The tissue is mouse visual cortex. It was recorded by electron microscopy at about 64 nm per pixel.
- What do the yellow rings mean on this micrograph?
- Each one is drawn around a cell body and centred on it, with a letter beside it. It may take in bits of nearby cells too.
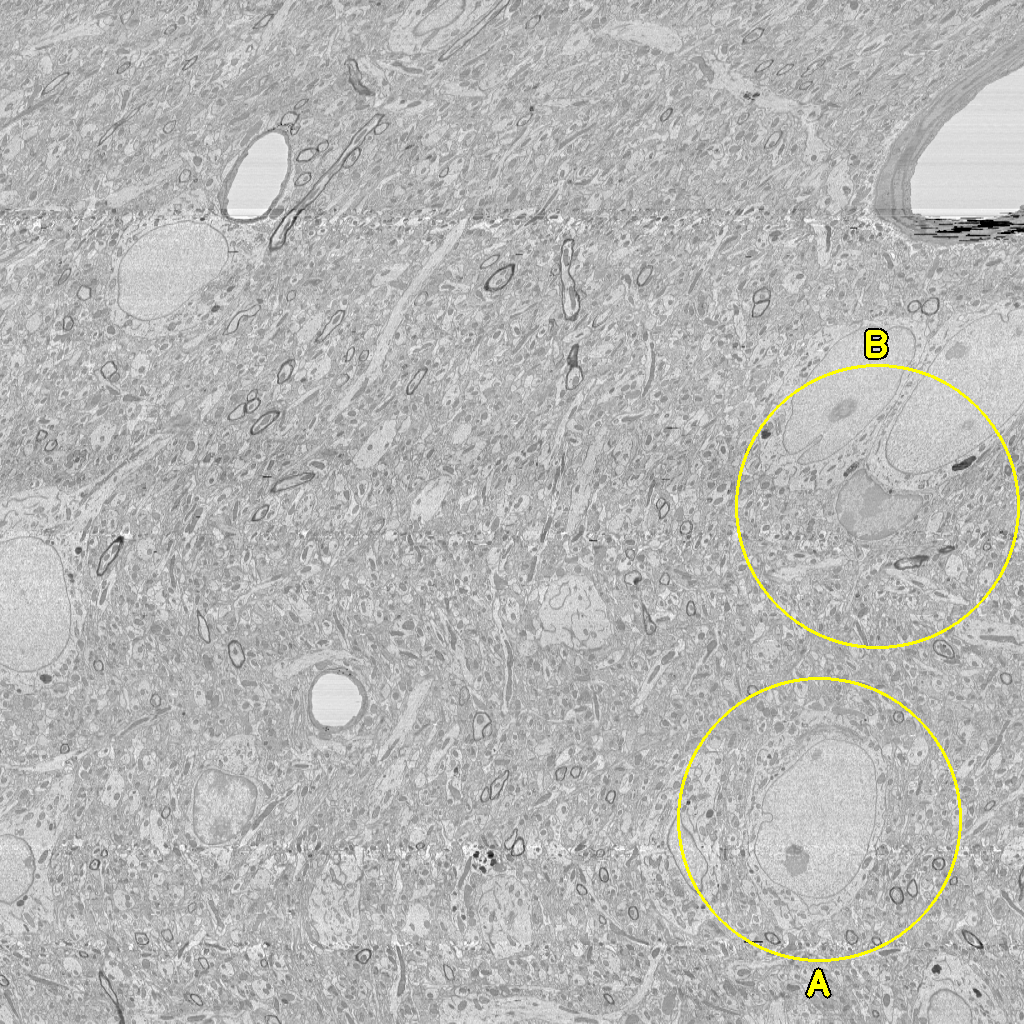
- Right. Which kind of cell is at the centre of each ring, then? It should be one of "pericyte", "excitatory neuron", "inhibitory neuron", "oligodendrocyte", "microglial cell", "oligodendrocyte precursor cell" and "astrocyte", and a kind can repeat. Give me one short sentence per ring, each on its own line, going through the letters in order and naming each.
Ring A circles the cell body of an excitatory neuron.
Ring B circles the cell body of a microglial cell.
